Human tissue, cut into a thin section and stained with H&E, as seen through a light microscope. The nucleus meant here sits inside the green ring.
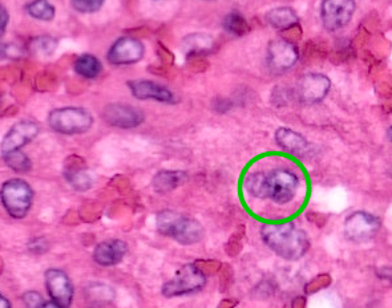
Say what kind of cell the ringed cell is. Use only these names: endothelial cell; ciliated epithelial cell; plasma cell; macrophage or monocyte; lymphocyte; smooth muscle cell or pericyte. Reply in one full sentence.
Within this tissue, the ringed cell is a macrophage or monocyte.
